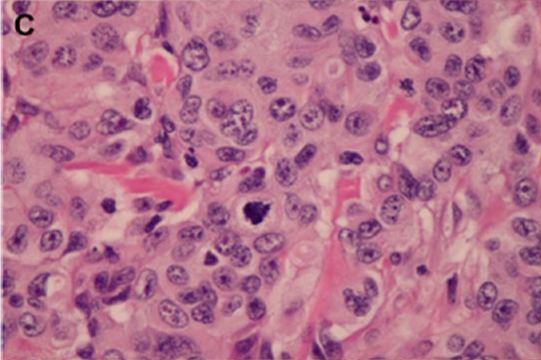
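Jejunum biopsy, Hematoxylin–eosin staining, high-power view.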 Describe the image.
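These are tumor cells growing in solid sheets, with large oval vesicular nuclei, many with distinct nucleoli, and moderate pale to pink cytoplasm with indistinct borders. Near the centre a cell in mitosis shows dark, clumped chromatin. Thin pink fibrous strands and a few red blood cells run between the cells.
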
